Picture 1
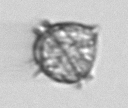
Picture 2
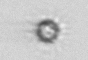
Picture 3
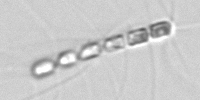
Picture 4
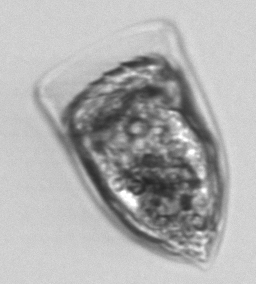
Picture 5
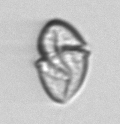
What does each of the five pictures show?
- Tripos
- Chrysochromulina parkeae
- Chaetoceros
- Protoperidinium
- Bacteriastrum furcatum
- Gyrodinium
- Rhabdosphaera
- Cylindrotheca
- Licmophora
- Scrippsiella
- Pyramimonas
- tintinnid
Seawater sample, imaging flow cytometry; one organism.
1: Protoperidinium
2: Rhabdosphaera
3: Chaetoceros
4: tintinnid
5: Gyrodinium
